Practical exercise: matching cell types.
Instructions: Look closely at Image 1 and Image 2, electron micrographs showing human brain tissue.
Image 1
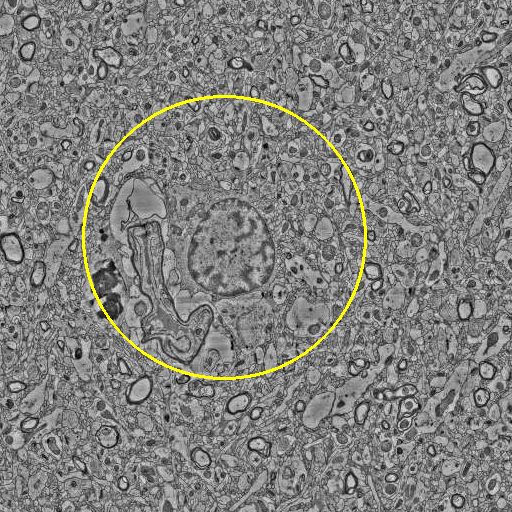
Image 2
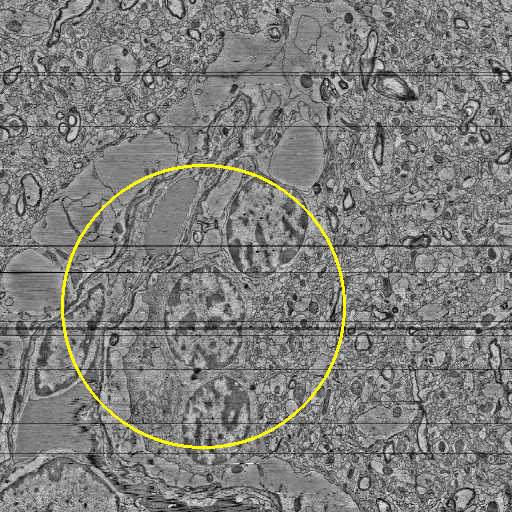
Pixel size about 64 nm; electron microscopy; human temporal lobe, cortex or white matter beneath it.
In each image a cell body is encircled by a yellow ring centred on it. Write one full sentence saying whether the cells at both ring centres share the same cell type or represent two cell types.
Across Image 1 and Image 2, the cells at the ring centres share the same cell type.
